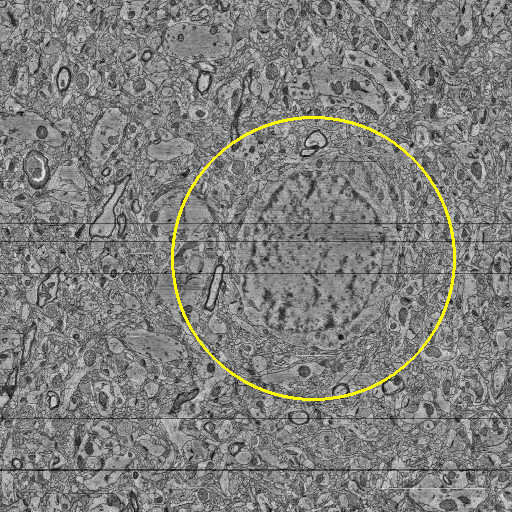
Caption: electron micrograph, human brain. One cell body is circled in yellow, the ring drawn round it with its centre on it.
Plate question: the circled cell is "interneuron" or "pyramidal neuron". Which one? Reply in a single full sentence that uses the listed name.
The yellow ring on the plate is centred on an interneuron, going by the listed names.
